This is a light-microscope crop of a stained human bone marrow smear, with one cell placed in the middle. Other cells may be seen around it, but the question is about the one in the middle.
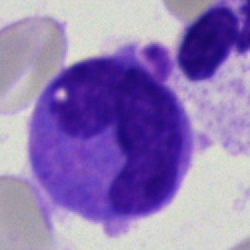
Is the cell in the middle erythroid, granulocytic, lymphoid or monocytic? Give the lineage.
monocytic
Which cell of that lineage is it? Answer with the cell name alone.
monocyte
